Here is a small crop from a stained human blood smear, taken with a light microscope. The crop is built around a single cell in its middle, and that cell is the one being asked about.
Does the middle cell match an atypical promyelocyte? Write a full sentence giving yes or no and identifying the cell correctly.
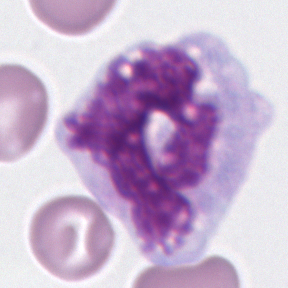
No, the cell in the middle is not an atypical promyelocyte but a monocyte.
